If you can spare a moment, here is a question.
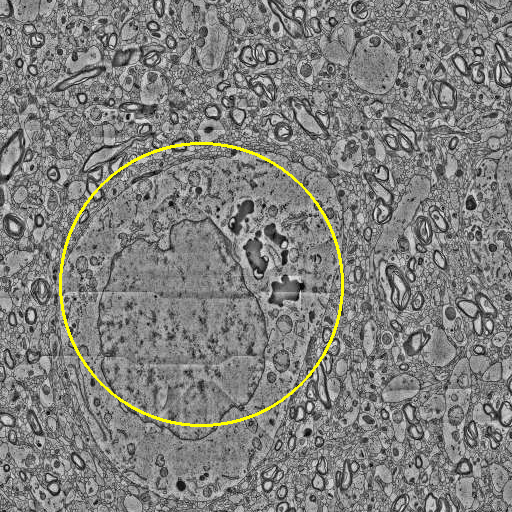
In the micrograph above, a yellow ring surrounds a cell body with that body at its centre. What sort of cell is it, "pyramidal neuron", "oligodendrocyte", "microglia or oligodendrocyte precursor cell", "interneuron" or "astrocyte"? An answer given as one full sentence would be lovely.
Centred inside the yellow ring, the cell body shown belongs to a pyramidal neuron in this micrograph.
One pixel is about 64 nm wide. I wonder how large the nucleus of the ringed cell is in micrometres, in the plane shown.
In this plane, approximately 14 by 11 micrometers.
